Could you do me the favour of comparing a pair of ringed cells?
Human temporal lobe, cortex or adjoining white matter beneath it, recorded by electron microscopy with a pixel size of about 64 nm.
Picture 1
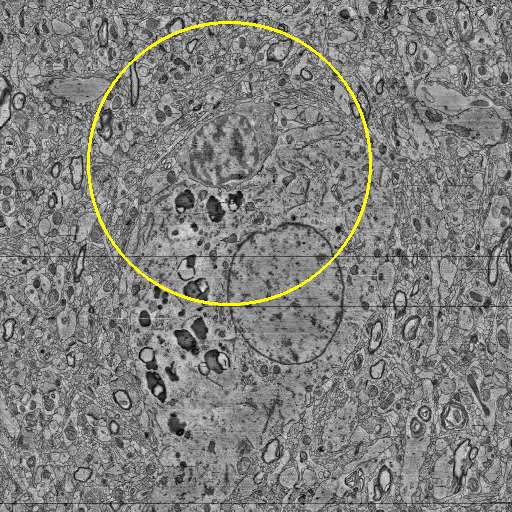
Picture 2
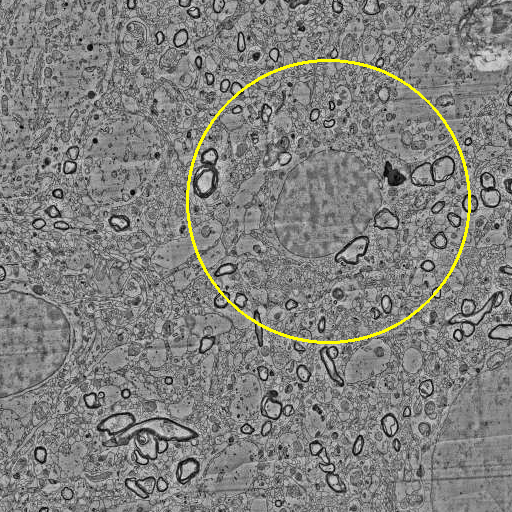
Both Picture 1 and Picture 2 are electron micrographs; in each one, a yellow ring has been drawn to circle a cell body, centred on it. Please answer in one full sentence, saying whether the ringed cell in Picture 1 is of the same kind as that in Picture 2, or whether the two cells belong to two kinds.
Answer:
The ringed cell in Picture 1 is of the same kind as that in Picture 2.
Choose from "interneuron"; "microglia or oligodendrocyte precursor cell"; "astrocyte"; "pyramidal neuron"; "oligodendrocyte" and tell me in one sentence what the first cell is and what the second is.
The first and the second cell are each an oligodendrocyte.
